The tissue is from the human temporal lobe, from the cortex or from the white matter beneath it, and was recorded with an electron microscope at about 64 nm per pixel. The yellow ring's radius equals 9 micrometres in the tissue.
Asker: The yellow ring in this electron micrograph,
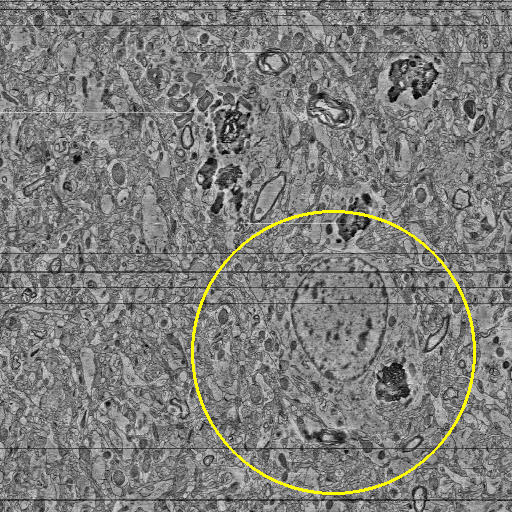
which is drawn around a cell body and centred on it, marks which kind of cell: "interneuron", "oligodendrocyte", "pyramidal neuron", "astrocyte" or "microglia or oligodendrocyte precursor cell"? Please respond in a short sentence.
The marked cell is an astrocyte.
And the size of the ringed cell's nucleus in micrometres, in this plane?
The nucleus works out at approximately 9 by 6 micrometres in this plane.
